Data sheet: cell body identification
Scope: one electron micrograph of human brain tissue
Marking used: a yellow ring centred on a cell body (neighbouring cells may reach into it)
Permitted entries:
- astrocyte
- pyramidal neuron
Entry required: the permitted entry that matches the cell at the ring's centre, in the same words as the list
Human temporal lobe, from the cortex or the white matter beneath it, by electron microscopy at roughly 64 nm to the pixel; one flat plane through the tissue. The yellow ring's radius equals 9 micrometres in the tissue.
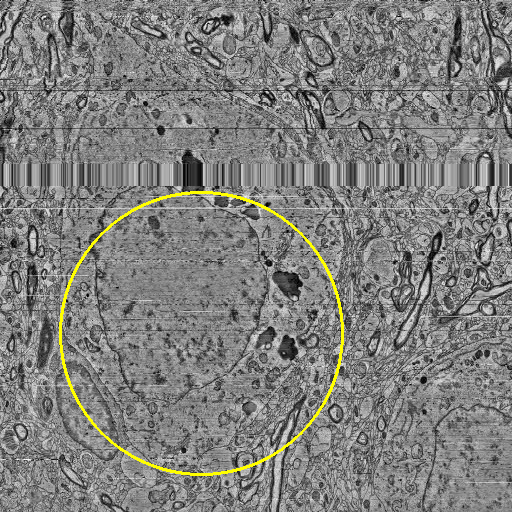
pyramidal neuron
